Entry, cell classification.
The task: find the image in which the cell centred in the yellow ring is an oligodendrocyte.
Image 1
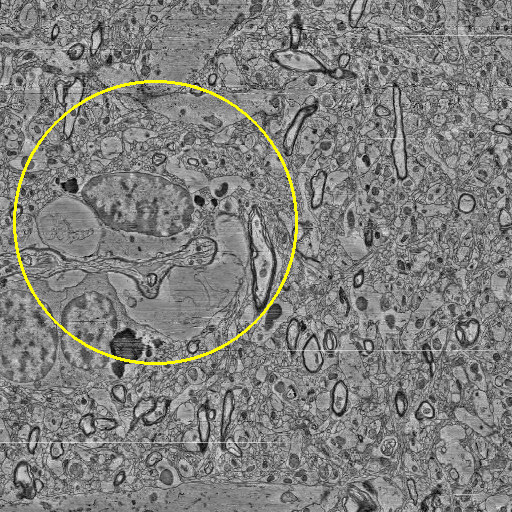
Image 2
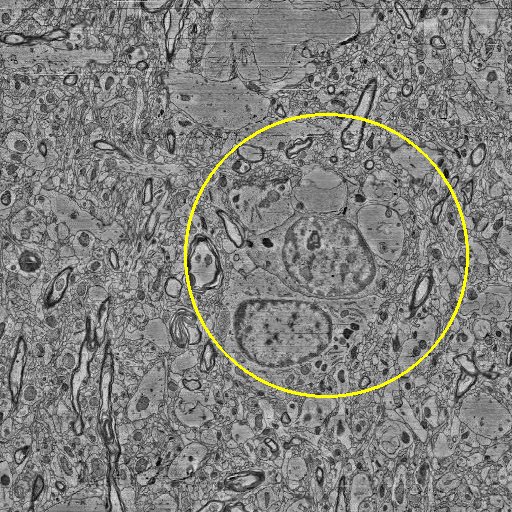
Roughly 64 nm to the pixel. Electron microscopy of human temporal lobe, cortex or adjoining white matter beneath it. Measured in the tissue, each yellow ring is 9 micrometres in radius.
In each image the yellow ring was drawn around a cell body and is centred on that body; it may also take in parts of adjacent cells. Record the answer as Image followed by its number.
Image 2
